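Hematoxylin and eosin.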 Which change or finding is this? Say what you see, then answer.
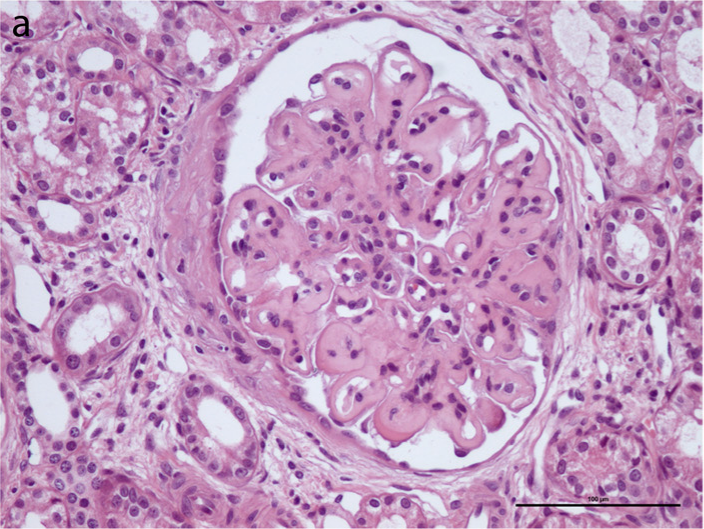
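Deposited extracellular eosinophilic fibrillar material. The tuft lobules are widened by pale pink, largely cell-free material. Nuclei are pushed apart by this pink material. Capillary loops appear thickened and rounded.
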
